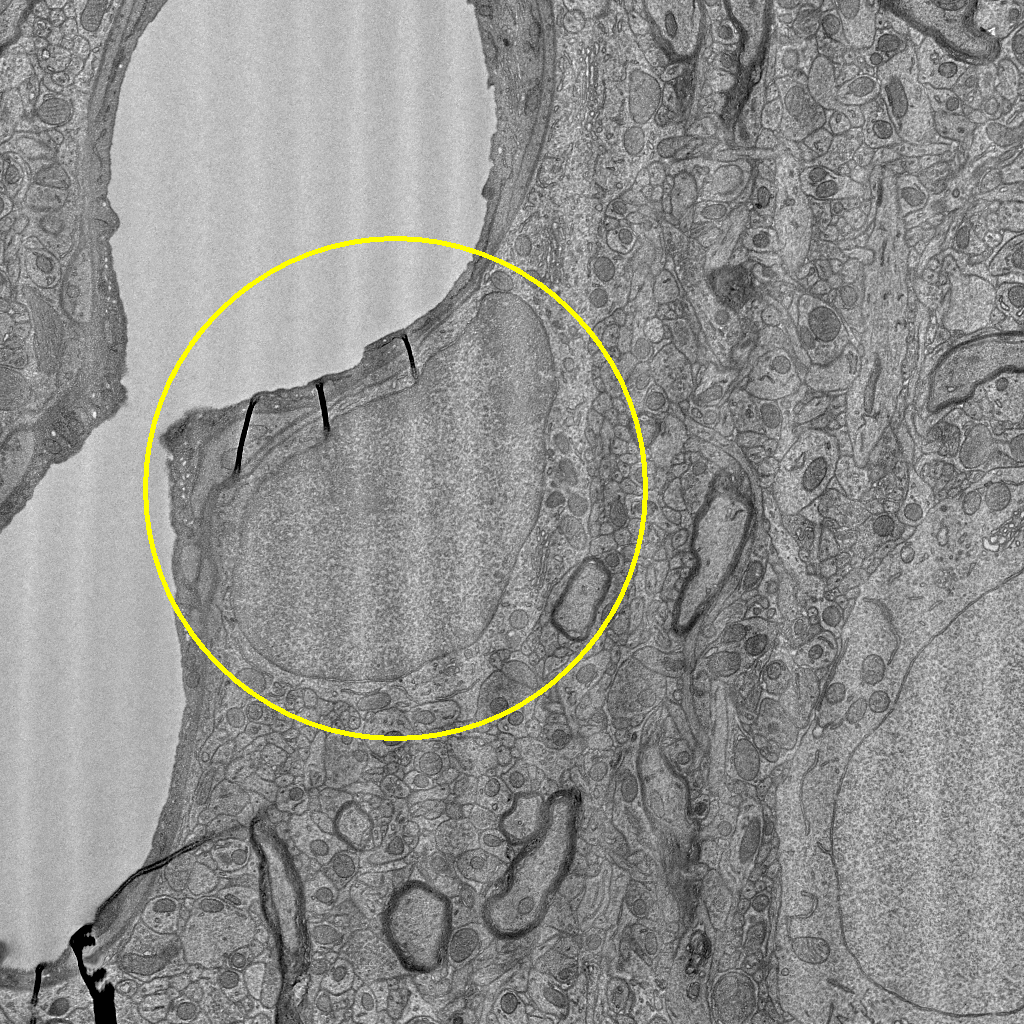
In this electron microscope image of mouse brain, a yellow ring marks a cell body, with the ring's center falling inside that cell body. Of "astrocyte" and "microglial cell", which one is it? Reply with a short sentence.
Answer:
It is an astrocyte at the center of the ring.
